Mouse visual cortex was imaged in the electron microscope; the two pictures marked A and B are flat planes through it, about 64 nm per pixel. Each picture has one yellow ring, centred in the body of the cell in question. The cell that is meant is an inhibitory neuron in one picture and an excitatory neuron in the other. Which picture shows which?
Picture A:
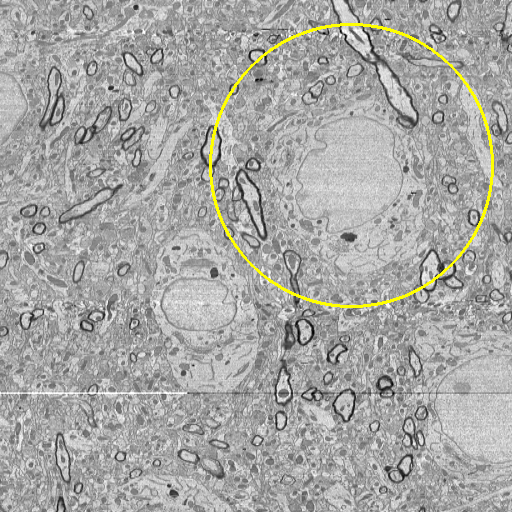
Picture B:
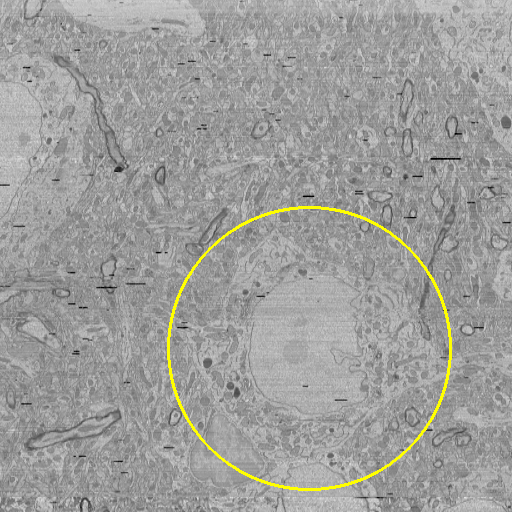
It is picture A that shows an excitatory neuron, and picture B that shows an inhibitory neuron.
